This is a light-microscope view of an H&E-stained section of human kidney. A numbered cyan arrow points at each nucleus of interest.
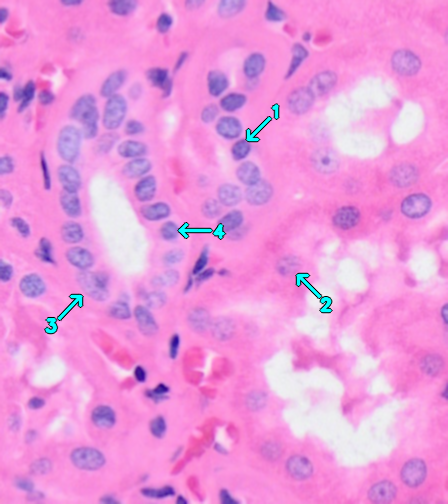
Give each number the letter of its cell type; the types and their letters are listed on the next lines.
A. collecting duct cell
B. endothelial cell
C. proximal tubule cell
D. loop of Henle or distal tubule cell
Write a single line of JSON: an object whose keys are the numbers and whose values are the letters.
{"1": "A", "2": "C", "3": "A", "4": "A"}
